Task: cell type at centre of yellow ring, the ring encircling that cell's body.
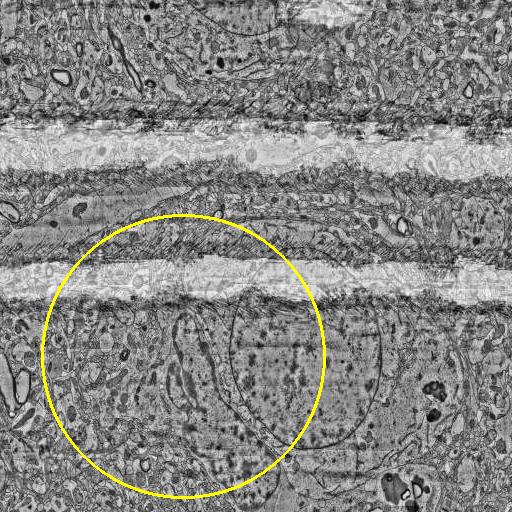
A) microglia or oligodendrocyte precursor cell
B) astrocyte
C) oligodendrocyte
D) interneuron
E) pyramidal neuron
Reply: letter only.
A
